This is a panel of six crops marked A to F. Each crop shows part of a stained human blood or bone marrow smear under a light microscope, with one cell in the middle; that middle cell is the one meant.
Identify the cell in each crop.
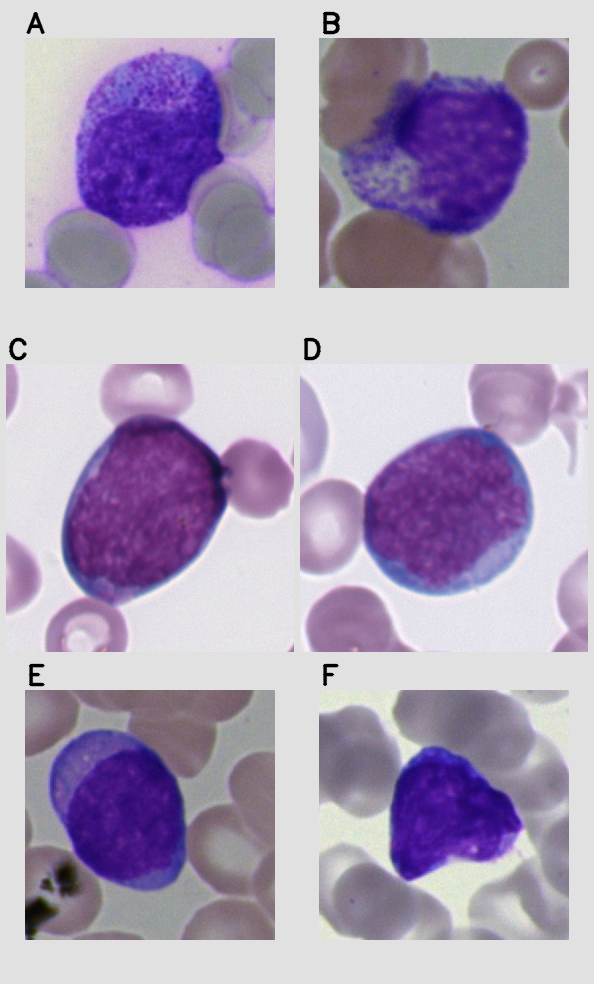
A: myelocyte
B: myelocyte
C: blast
D: blast
E: blast
F: blast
